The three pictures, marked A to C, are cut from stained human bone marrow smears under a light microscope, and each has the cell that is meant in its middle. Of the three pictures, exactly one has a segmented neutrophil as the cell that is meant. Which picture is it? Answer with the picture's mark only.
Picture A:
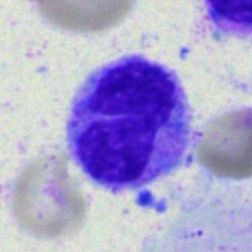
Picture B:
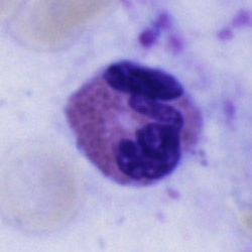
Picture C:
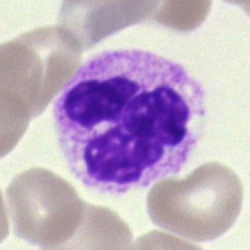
C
